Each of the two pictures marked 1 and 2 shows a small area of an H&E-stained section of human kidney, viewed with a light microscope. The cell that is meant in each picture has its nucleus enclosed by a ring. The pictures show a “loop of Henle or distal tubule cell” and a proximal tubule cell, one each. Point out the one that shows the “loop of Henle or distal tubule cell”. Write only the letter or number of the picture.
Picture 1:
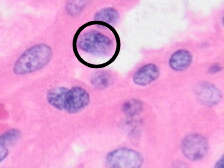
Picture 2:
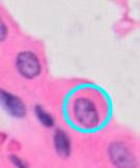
1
